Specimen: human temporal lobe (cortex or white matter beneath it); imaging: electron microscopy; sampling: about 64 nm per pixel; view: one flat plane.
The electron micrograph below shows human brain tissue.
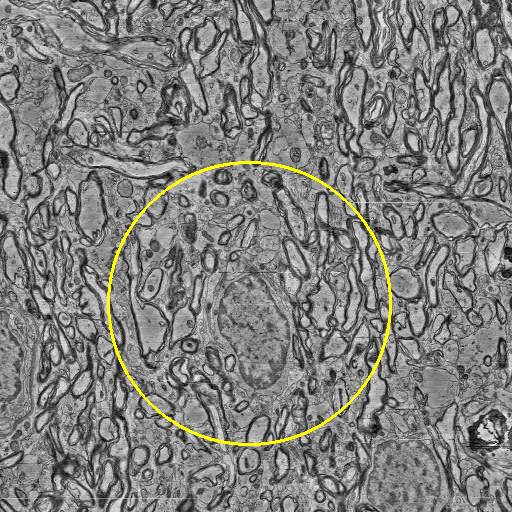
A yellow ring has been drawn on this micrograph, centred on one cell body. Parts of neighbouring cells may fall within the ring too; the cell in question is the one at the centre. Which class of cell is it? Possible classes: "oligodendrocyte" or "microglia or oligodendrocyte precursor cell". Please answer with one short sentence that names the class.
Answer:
In the centre of the ring sits an oligodendrocyte.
